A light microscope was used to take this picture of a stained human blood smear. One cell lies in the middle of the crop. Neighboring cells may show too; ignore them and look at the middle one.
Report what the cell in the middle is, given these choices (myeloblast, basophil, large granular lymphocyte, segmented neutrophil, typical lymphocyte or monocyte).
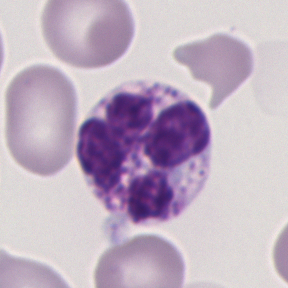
basophil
